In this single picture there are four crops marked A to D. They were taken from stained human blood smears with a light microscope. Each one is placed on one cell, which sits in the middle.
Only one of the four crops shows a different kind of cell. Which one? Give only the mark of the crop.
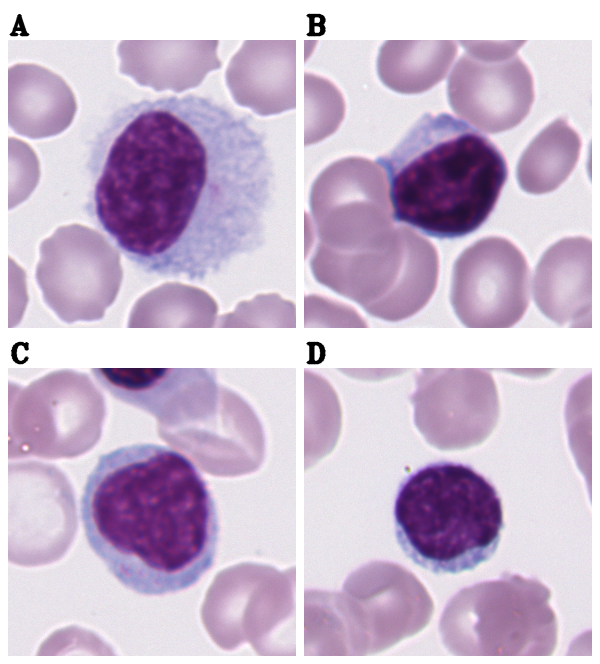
A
